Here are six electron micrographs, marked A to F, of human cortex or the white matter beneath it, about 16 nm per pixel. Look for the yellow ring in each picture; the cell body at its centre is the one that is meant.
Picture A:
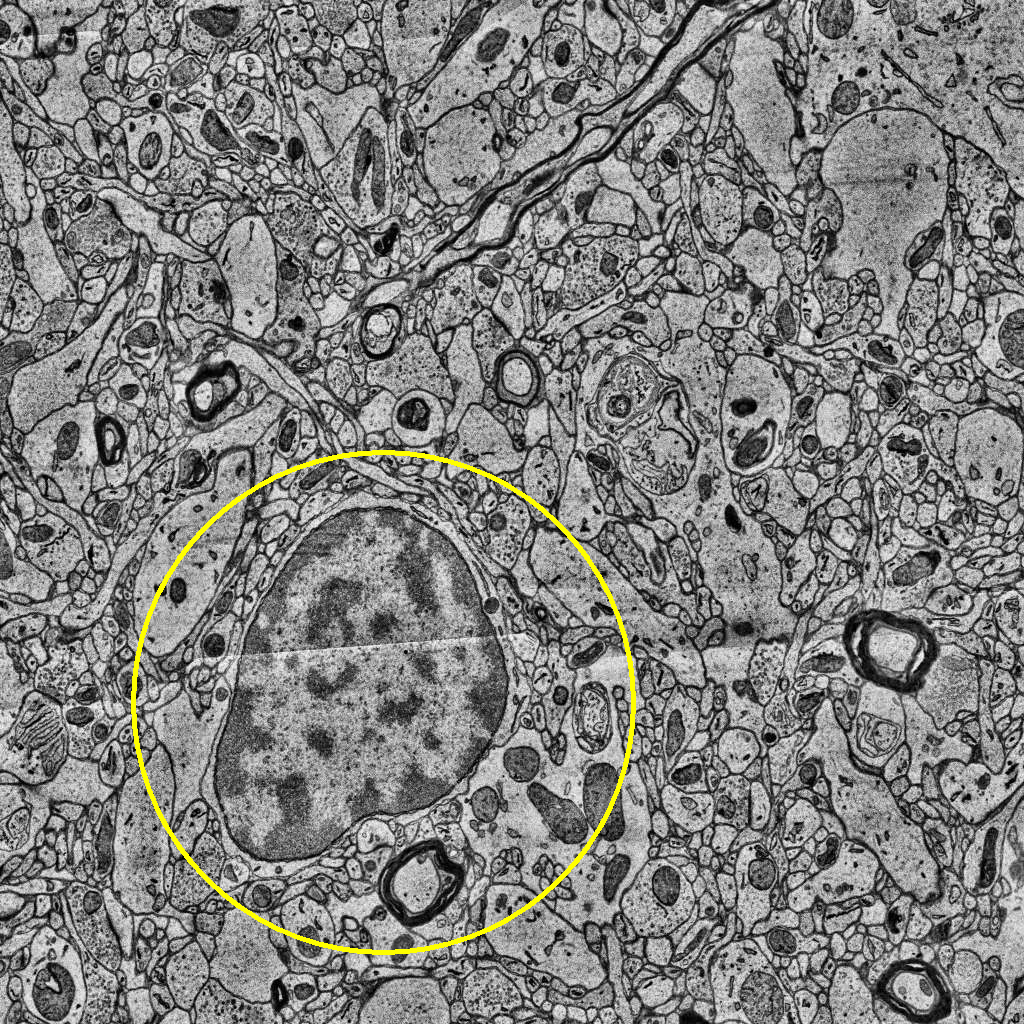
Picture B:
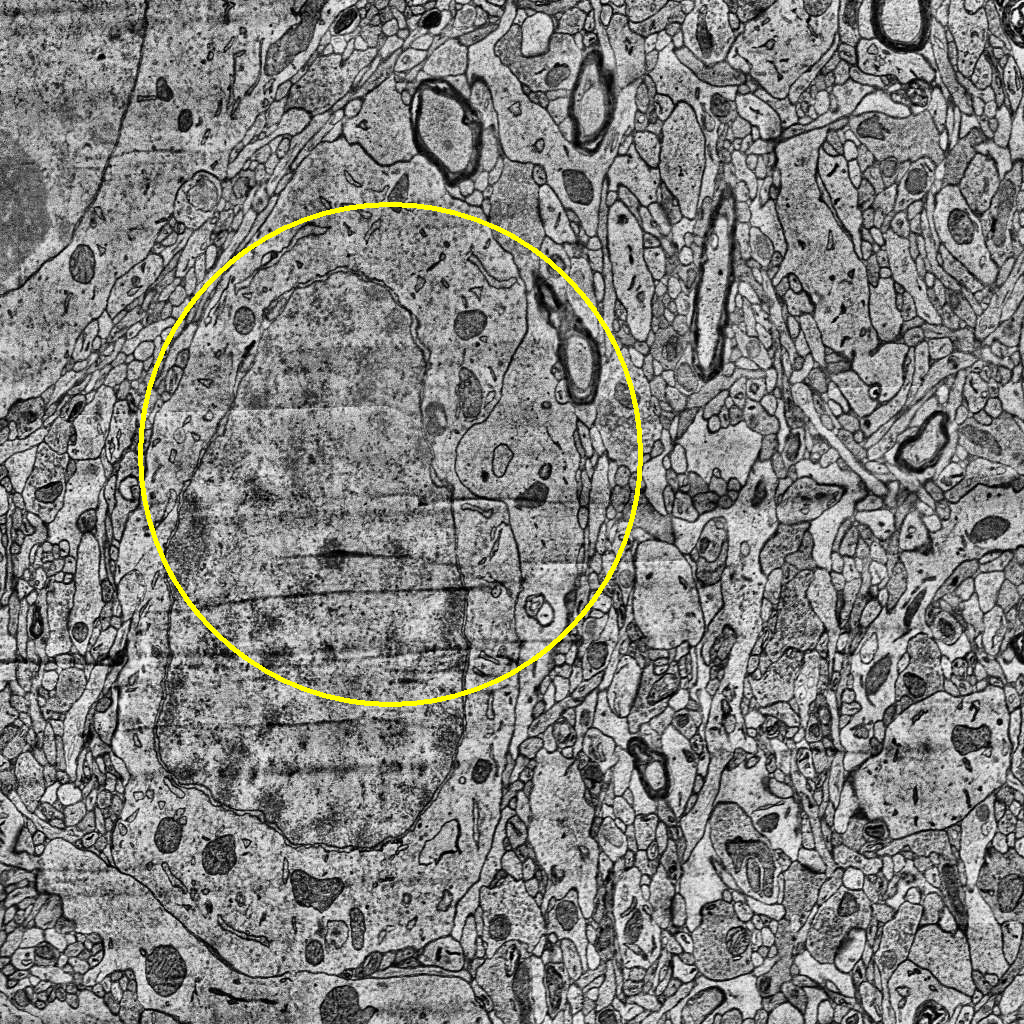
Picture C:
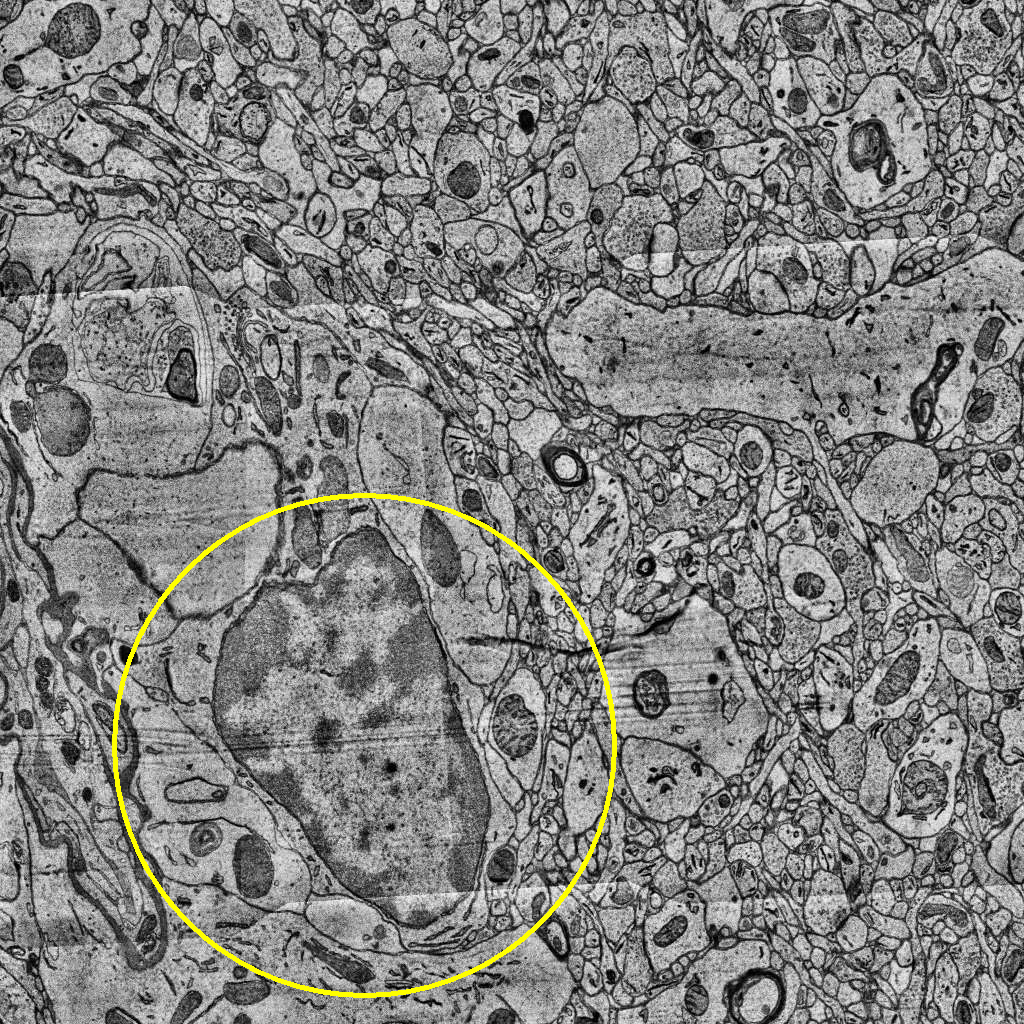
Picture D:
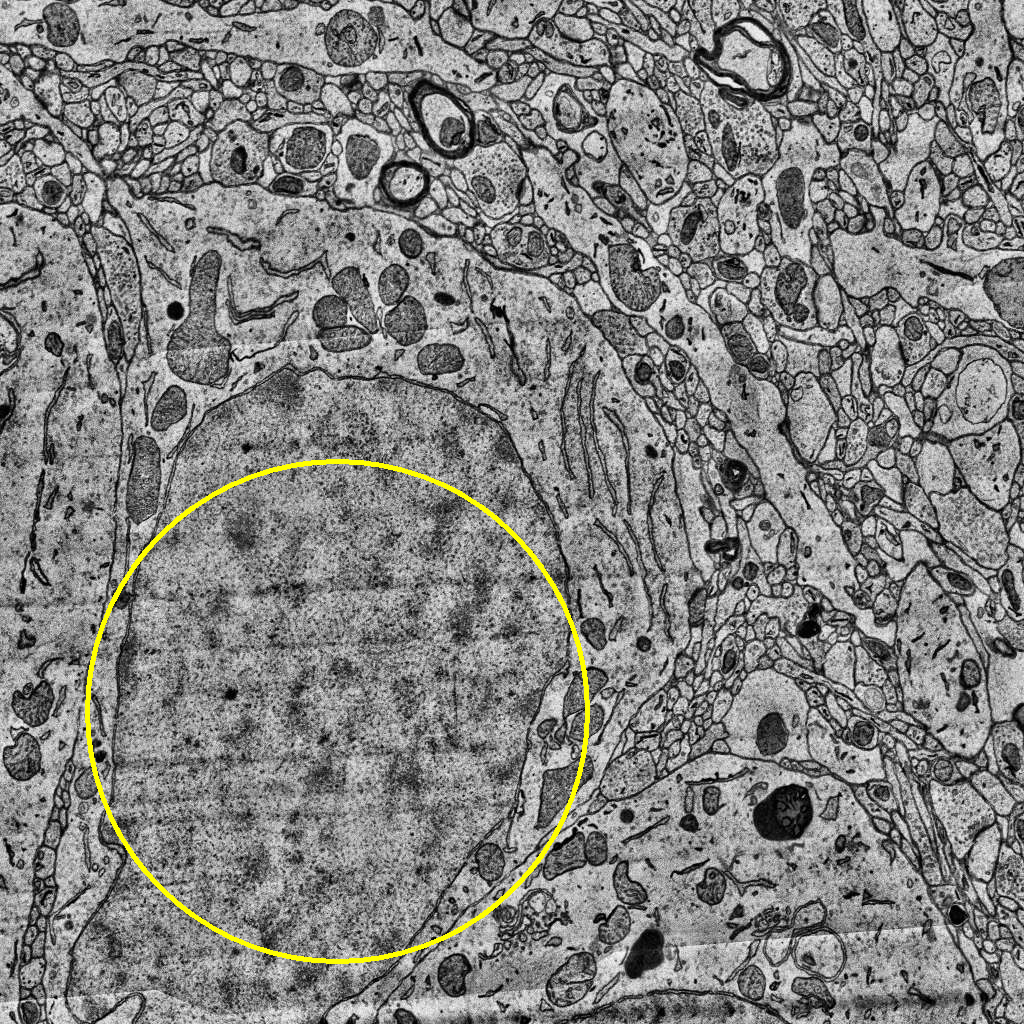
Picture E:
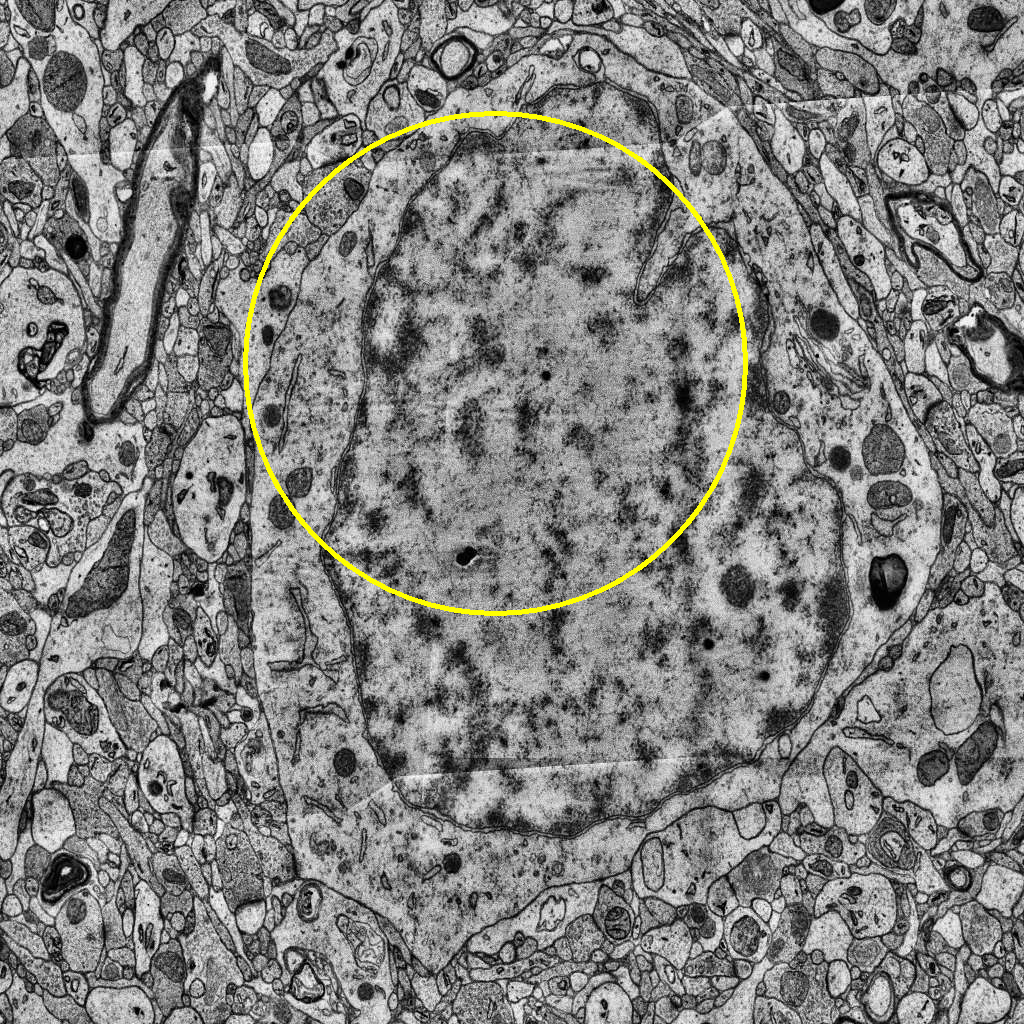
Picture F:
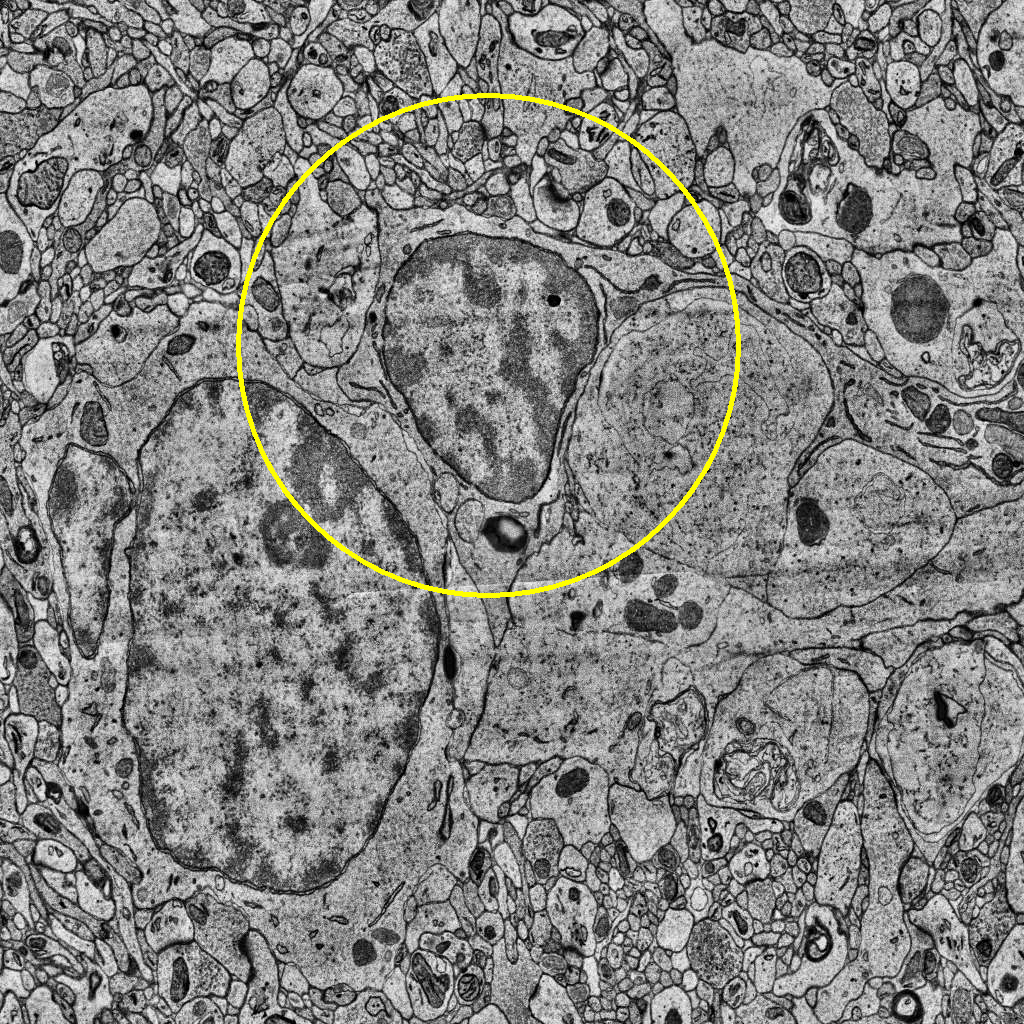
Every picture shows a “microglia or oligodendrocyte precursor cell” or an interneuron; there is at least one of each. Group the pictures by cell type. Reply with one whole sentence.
Pictures A, C and F show “microglia or oligodendrocyte precursor cells”, and pictures B, D and E show interneurons.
